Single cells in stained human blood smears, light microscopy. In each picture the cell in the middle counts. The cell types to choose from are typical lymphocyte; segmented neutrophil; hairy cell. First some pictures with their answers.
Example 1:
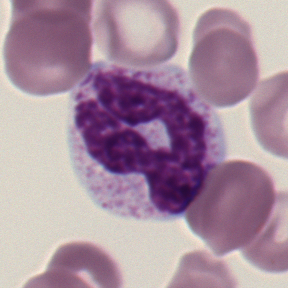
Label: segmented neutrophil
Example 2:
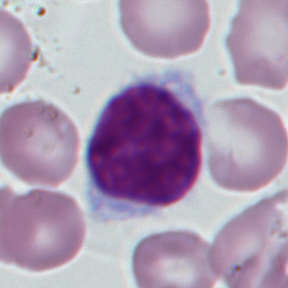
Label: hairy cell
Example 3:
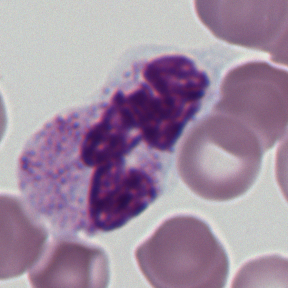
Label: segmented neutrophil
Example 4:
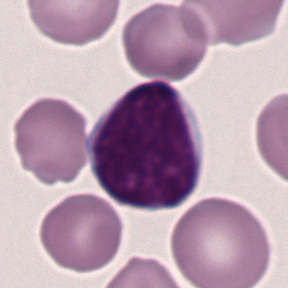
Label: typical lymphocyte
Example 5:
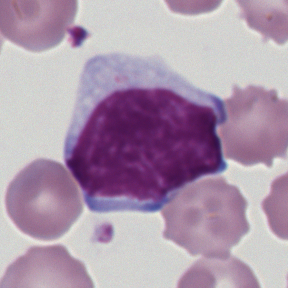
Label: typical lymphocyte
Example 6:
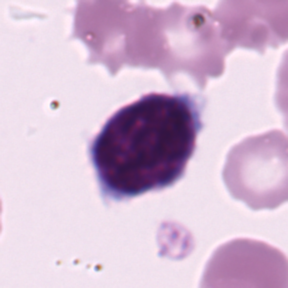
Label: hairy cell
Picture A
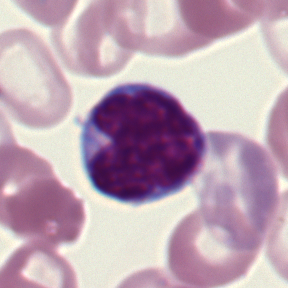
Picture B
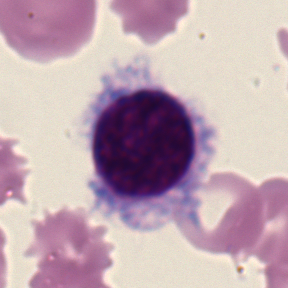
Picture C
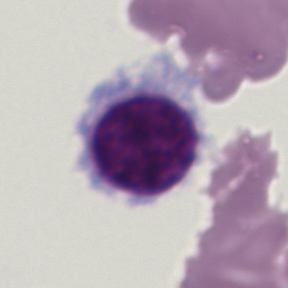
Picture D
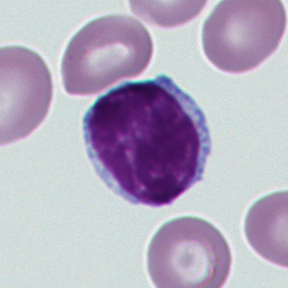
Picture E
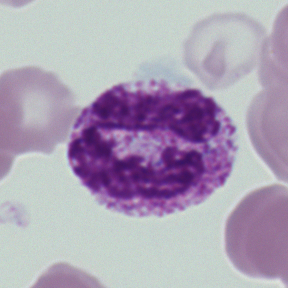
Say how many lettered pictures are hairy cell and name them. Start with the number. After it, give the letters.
2: B, C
